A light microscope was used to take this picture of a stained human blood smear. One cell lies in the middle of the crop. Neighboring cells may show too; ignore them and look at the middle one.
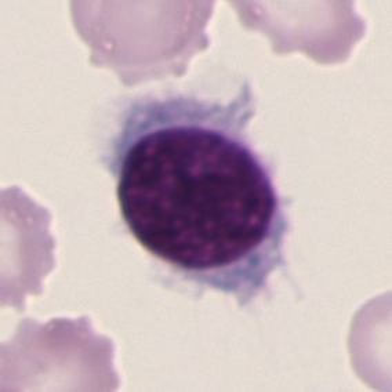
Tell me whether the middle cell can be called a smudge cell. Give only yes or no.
no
